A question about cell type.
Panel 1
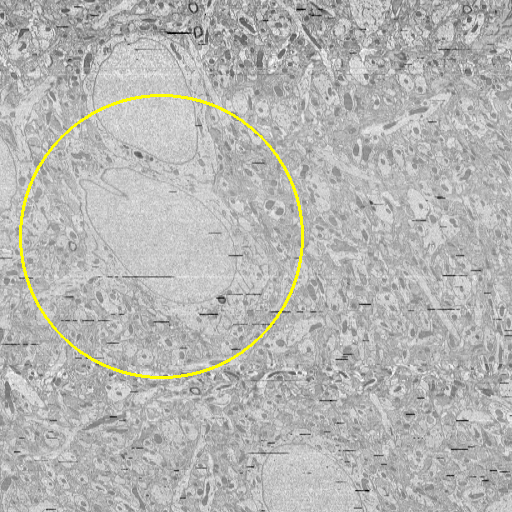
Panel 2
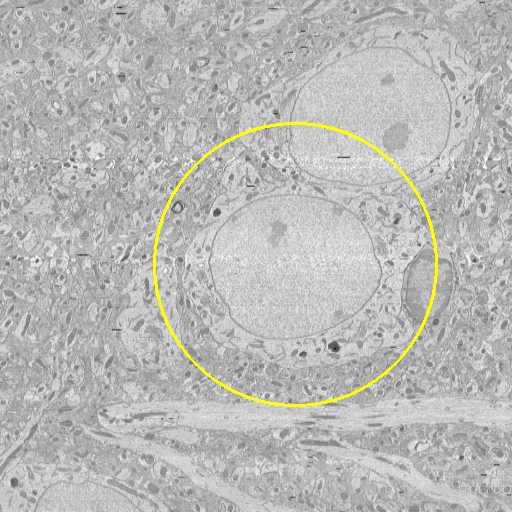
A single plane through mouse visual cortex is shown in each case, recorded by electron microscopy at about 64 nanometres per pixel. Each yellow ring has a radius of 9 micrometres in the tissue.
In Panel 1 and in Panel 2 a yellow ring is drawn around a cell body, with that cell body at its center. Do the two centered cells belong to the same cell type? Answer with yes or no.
yes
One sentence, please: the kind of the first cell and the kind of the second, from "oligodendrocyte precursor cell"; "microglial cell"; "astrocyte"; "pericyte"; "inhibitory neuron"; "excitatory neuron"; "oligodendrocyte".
Each of the two cells is an excitatory neuron.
